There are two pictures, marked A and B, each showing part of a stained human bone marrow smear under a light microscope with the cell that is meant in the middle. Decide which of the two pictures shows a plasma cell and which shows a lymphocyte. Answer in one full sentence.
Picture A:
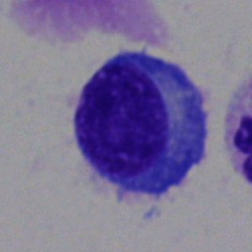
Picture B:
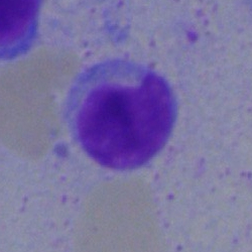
Picture A is of a plasma cell, and picture B is of a lymphocyte.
